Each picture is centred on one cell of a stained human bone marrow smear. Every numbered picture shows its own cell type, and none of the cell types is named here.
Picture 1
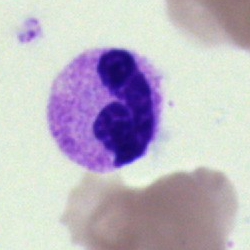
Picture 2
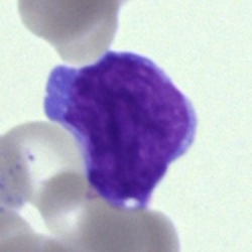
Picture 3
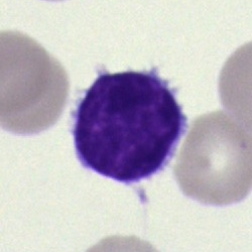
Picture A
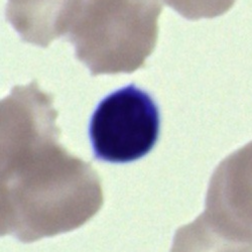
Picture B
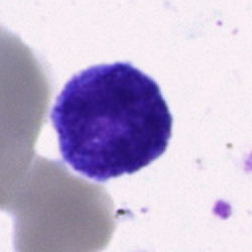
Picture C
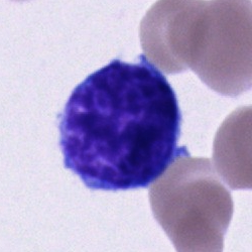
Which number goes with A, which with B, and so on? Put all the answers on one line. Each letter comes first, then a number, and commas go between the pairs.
A 3, B 3, C 2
